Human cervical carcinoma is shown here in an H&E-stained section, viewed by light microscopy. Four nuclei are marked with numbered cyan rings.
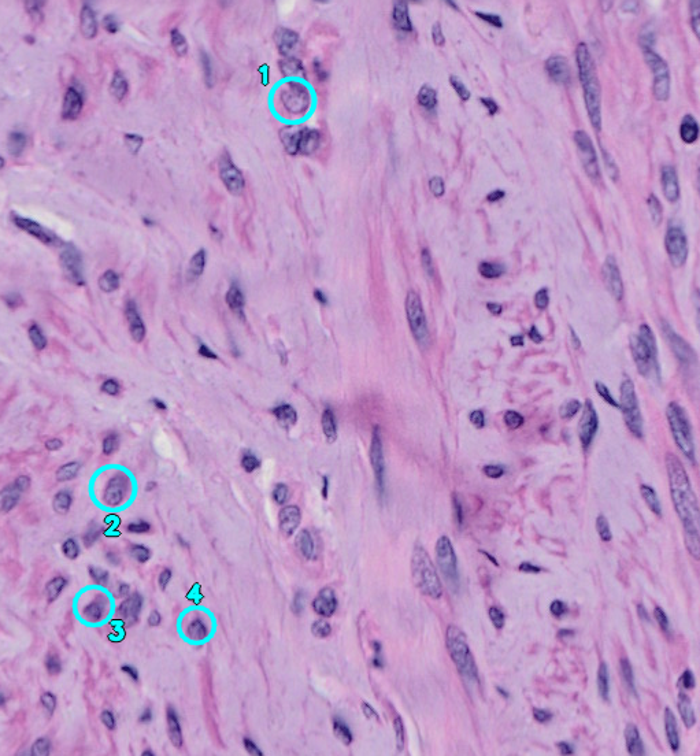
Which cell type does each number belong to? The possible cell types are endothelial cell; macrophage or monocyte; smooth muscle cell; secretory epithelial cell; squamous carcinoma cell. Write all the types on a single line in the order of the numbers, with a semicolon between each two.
endothelial cell; smooth muscle cell; smooth muscle cell; smooth muscle cell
